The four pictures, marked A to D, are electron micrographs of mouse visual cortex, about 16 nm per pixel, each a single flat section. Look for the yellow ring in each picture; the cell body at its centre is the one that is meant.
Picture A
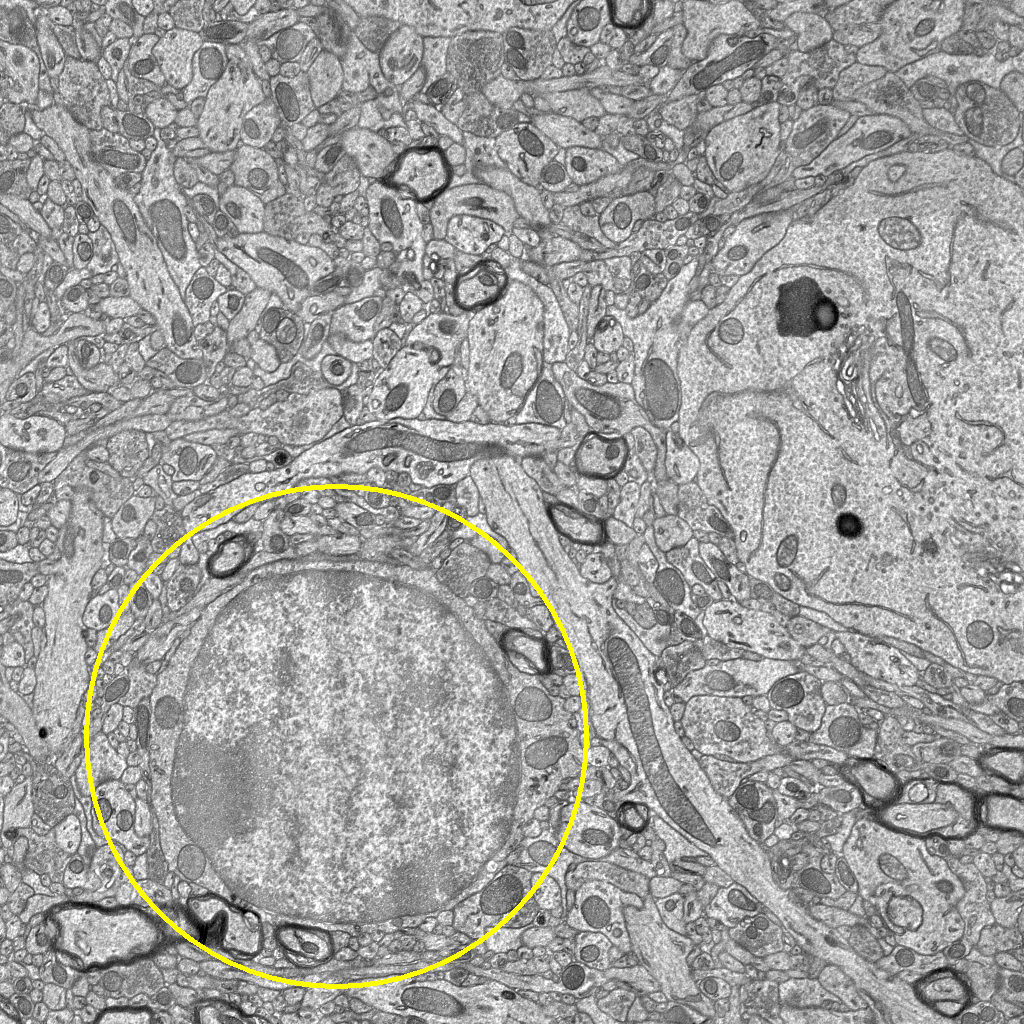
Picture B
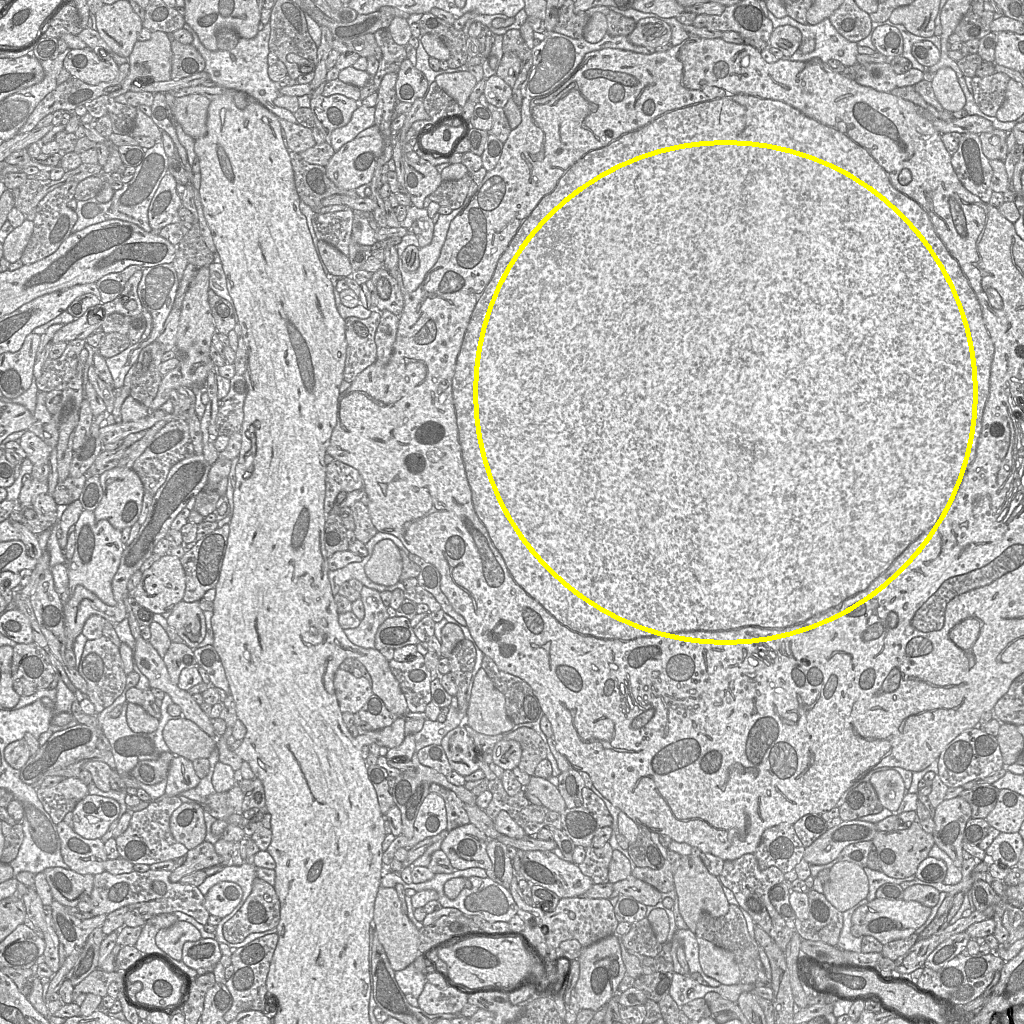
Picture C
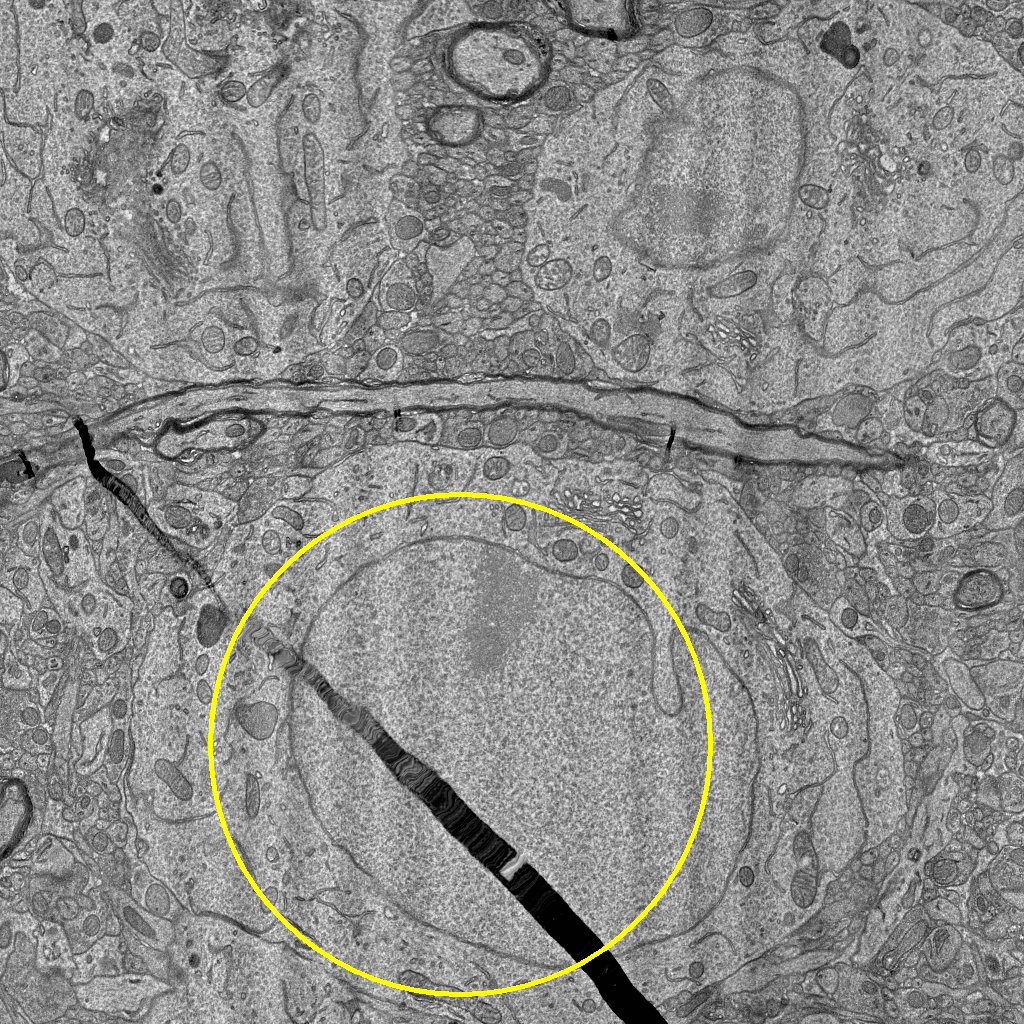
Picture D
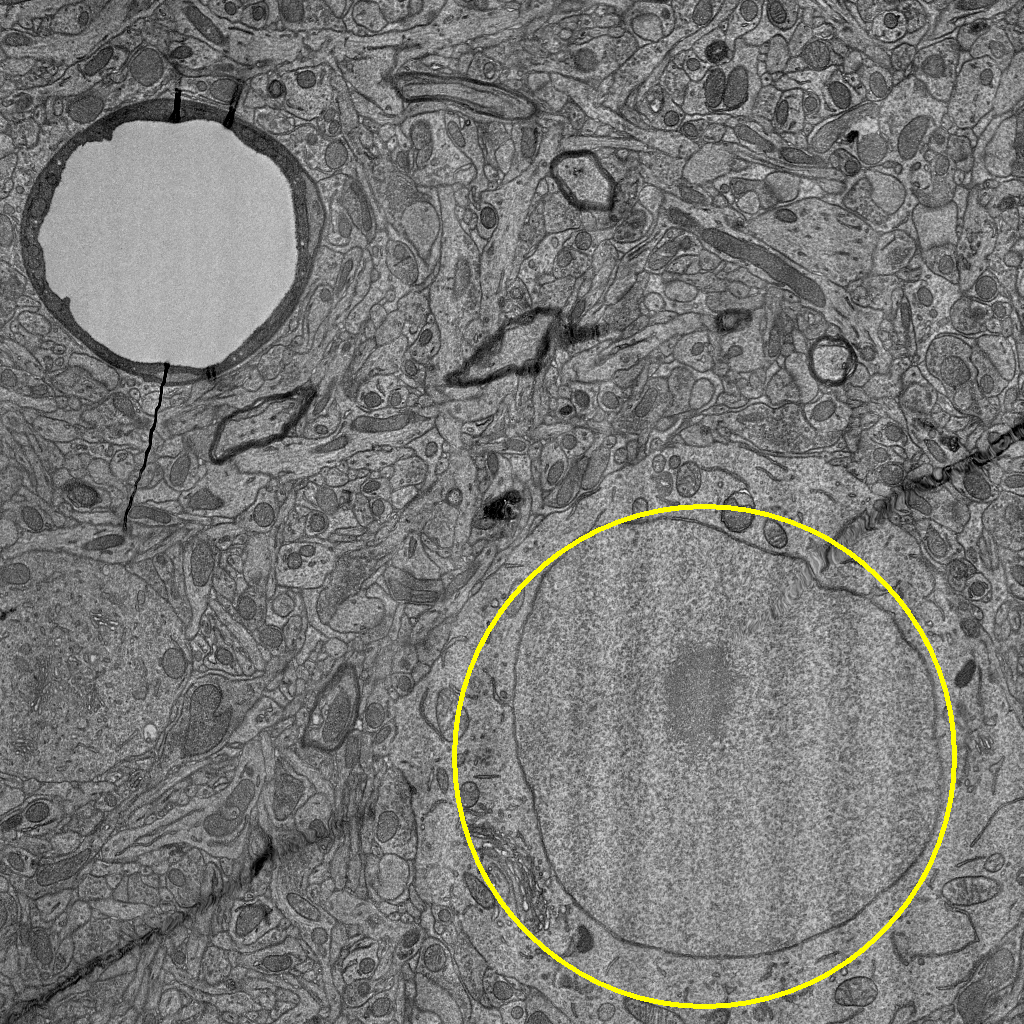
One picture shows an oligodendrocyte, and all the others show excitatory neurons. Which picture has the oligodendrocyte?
Picture A shows the oligodendrocyte.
